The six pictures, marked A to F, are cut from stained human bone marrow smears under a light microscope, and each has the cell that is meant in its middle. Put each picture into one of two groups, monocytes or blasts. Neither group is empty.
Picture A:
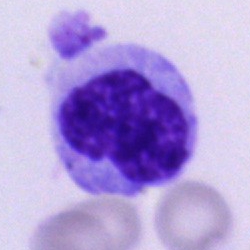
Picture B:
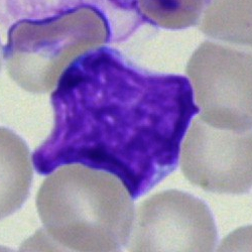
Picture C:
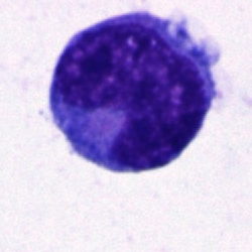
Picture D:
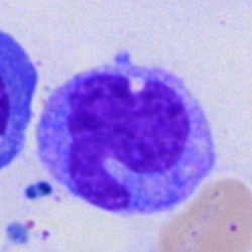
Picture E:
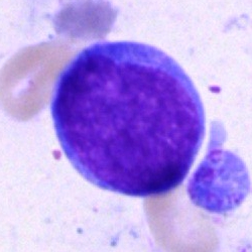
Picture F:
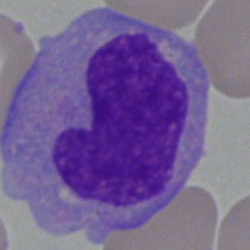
A: monocyte
B: blast
C: blast
D: monocyte
E: blast
F: monocyte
